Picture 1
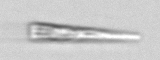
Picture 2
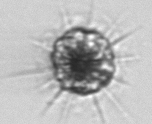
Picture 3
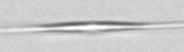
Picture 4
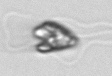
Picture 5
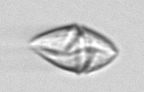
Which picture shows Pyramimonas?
Picture 4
